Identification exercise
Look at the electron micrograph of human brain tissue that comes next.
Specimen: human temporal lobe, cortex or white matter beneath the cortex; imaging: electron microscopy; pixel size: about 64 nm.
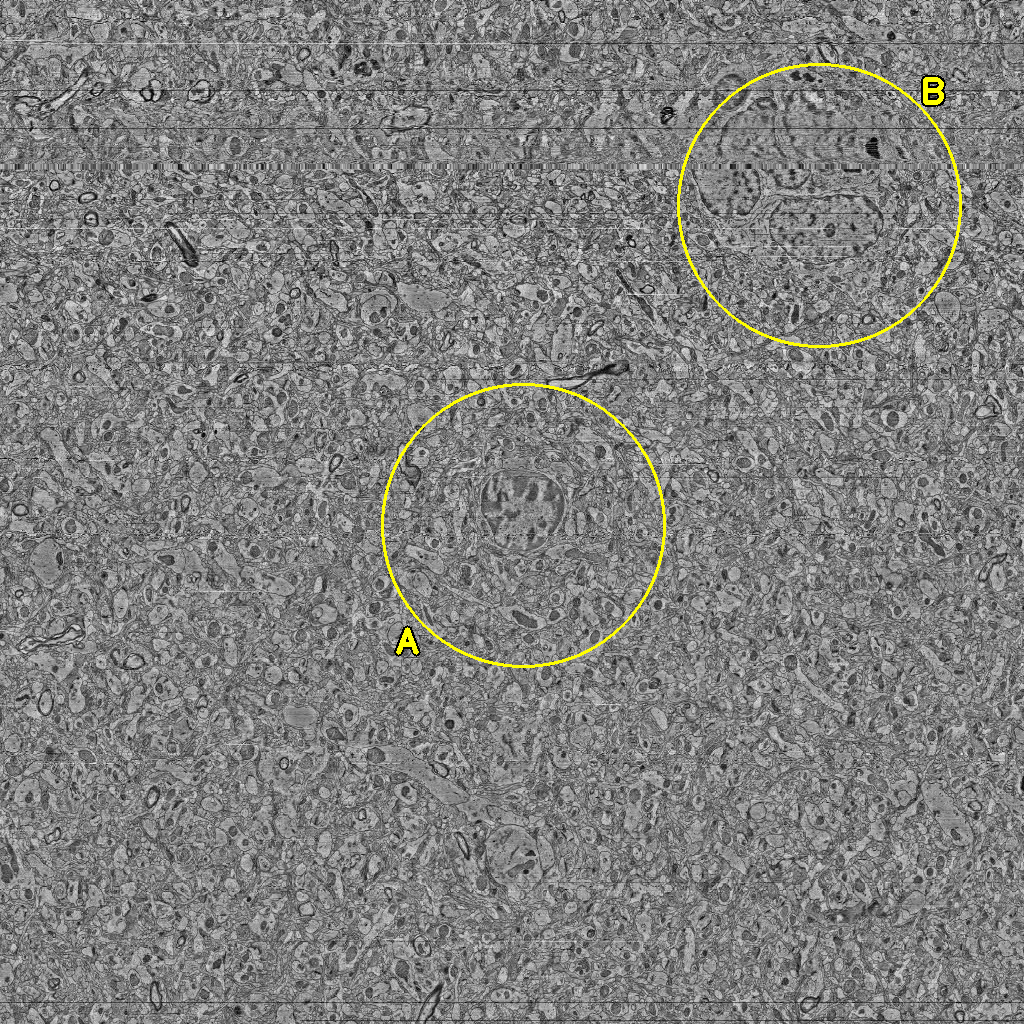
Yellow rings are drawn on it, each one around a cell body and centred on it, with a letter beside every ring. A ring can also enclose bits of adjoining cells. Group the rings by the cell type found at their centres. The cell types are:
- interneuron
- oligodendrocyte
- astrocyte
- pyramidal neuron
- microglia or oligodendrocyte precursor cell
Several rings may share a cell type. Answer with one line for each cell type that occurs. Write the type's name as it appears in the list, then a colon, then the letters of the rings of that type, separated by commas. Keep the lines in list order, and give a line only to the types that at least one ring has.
microglia or oligodendrocyte precursor cell: A, B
